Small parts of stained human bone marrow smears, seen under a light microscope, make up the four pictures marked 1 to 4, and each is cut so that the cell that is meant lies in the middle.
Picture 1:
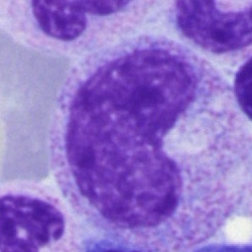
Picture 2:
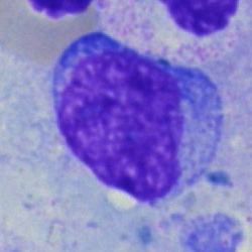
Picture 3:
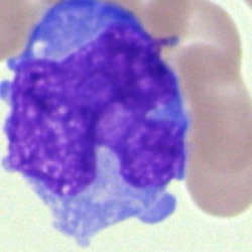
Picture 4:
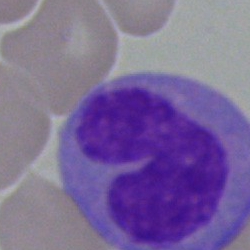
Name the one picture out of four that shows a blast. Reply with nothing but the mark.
2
